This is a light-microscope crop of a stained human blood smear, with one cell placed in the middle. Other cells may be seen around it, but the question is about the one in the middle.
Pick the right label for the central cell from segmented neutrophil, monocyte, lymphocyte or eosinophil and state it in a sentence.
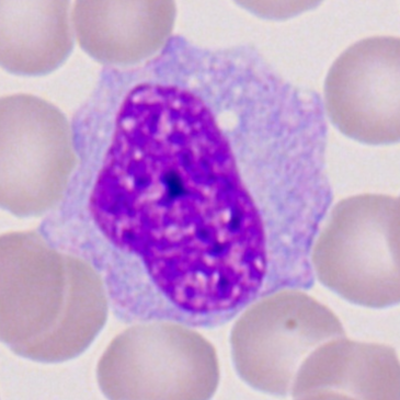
In this crop, the cell at the very middle is a monocyte.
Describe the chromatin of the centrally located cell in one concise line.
Answer: the chromatin in this nucleus is coarsely clumped.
